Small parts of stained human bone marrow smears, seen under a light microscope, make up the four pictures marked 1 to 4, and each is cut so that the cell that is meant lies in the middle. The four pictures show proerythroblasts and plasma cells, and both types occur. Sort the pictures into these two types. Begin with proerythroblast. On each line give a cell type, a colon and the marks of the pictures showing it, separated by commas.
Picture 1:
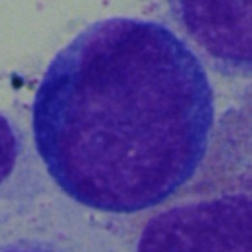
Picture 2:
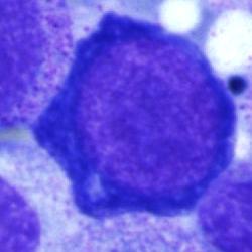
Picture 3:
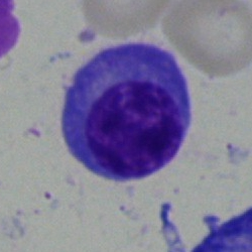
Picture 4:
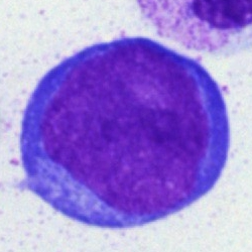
proerythroblast: 1, 2, 4
plasma cell: 3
